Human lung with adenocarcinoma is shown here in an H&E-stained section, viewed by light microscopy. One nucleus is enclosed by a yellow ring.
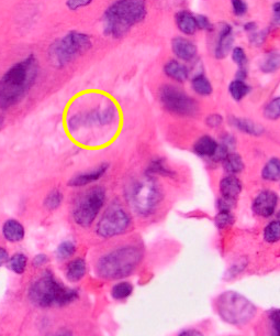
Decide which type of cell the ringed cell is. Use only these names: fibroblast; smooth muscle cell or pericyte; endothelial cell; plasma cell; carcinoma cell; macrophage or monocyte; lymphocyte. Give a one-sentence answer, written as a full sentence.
In the tissue at hand, the ringed cell is a fibroblast.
